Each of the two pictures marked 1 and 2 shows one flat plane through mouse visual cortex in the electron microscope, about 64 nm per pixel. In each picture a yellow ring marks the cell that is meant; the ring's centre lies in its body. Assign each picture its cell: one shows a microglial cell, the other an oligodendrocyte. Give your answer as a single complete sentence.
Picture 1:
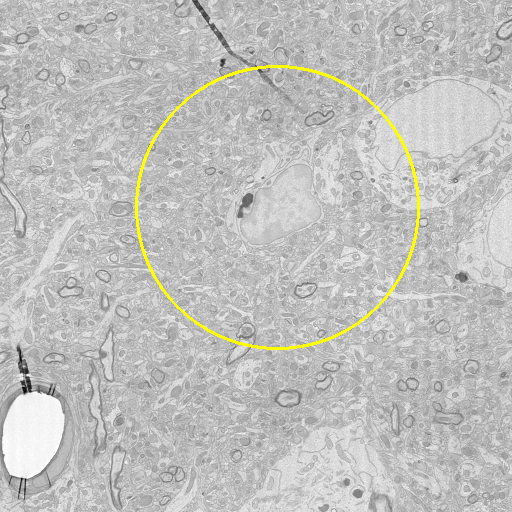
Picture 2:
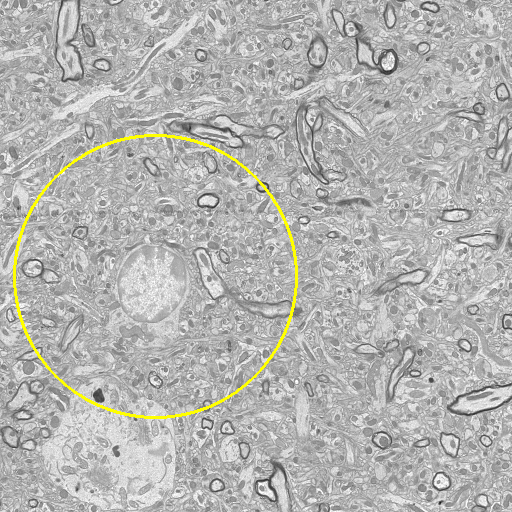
It is picture 1 that shows a microglial cell, and picture 2 that shows an oligodendrocyte.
